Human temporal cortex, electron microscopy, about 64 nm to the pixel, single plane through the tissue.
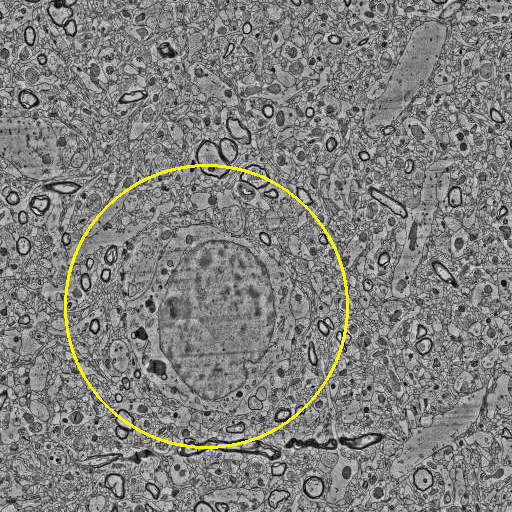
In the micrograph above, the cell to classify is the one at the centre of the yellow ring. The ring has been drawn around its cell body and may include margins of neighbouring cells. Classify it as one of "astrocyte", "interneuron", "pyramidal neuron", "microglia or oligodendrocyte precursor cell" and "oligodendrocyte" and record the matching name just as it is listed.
interneuron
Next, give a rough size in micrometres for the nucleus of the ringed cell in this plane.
In this plane, the nucleus of the cell at the centre of the ring measures about 10 by 7 micrometres.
